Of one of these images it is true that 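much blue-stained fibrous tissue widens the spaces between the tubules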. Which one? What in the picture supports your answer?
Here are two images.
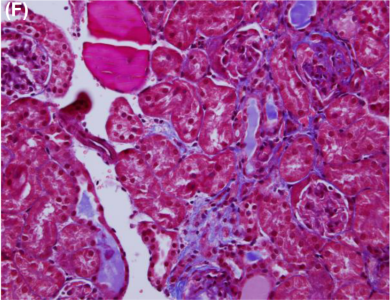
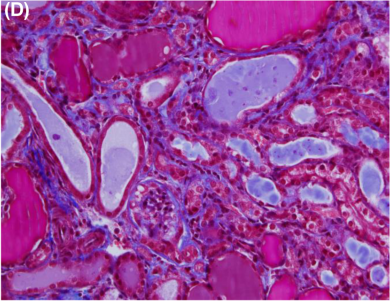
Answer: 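First image: tubules are mostly packed closely and red, with only limited blue strands between them. Second image: broad blue-stained bands lie between tubules throughout the field. So: the second image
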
